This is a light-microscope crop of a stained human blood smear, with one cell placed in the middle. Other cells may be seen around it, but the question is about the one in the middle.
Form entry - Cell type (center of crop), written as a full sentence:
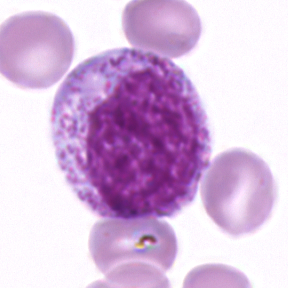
The central cell, amid any neighbouring cells, is a myelocyte.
